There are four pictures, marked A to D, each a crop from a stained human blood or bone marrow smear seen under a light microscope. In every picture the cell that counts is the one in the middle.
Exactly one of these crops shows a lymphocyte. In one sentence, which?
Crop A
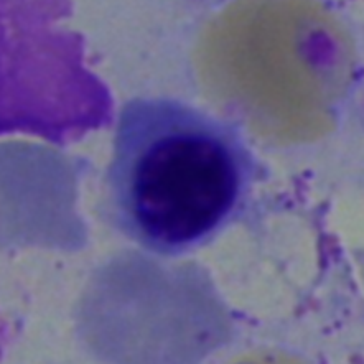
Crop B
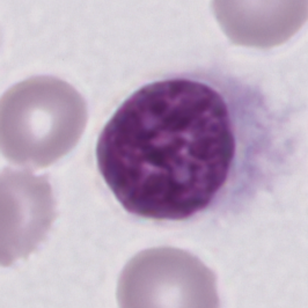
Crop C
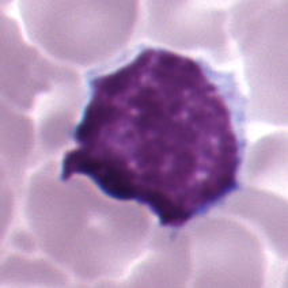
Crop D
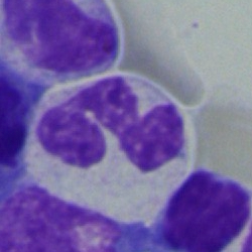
Crop C represents a lymphocyte, while the other crops do not.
